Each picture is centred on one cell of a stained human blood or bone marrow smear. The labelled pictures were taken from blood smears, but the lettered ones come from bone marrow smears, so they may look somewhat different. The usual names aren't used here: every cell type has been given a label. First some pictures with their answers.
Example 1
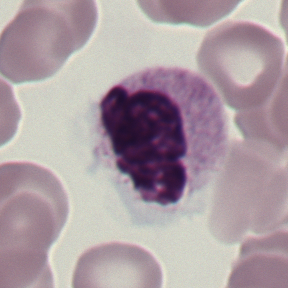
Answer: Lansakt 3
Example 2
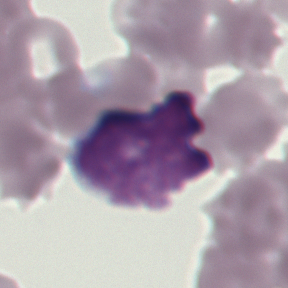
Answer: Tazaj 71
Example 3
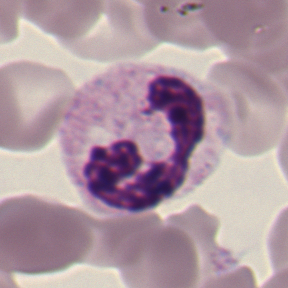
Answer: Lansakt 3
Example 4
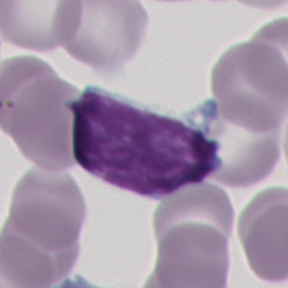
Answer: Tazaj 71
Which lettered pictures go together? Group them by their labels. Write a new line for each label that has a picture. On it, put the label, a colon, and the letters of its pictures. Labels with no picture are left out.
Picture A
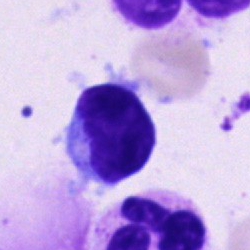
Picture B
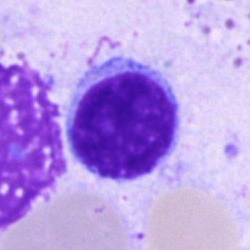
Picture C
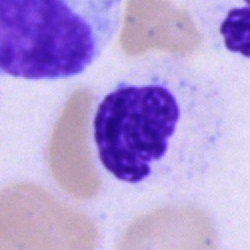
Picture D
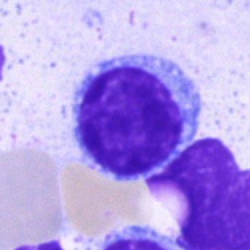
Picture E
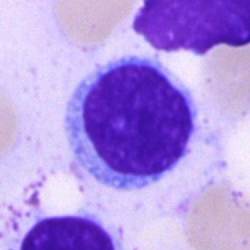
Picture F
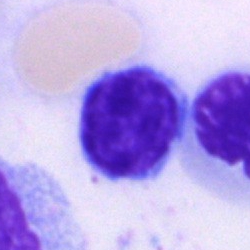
Lansakt 3: C
Tazaj 71: A, B, D, E, F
